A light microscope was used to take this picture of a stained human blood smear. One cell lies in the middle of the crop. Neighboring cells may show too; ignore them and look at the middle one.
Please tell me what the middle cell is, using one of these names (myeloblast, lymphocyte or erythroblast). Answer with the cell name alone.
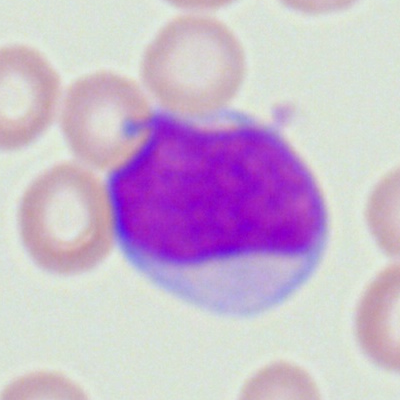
myeloblast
